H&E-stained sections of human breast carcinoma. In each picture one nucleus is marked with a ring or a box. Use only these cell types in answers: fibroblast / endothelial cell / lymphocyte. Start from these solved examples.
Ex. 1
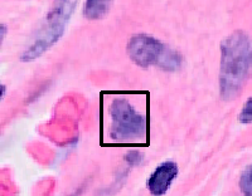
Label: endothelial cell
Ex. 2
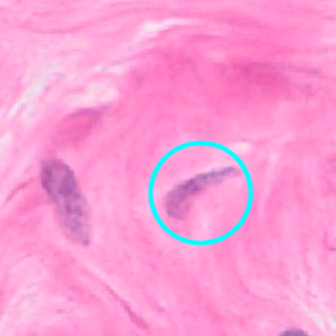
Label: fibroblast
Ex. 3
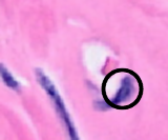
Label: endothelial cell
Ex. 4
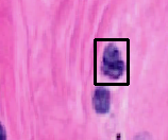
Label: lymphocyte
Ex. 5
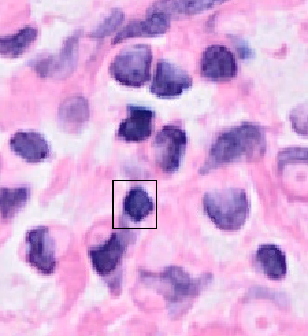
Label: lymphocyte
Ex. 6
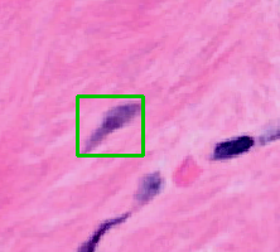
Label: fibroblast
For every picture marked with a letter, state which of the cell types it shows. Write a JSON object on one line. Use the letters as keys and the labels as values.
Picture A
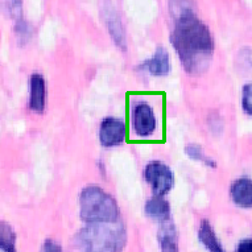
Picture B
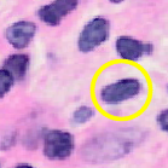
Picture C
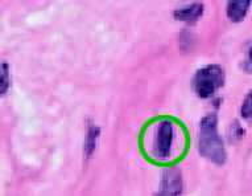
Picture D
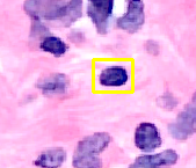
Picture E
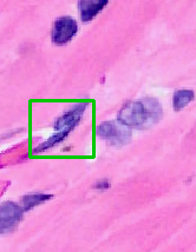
{"A": "lymphocyte", "B": "lymphocyte", "C": "lymphocyte", "D": "lymphocyte", "E": "endothelial cell"}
